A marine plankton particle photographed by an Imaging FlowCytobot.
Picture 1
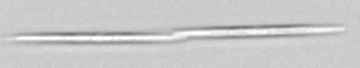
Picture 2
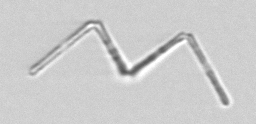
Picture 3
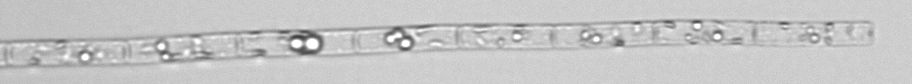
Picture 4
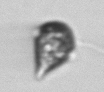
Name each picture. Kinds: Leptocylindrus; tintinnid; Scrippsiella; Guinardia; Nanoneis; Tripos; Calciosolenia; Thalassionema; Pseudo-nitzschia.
1. Pseudo-nitzschia
2. Nanoneis
3. Leptocylindrus
4. Scrippsiella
